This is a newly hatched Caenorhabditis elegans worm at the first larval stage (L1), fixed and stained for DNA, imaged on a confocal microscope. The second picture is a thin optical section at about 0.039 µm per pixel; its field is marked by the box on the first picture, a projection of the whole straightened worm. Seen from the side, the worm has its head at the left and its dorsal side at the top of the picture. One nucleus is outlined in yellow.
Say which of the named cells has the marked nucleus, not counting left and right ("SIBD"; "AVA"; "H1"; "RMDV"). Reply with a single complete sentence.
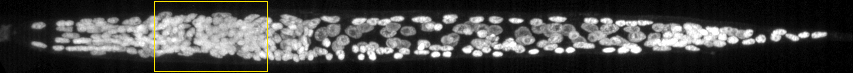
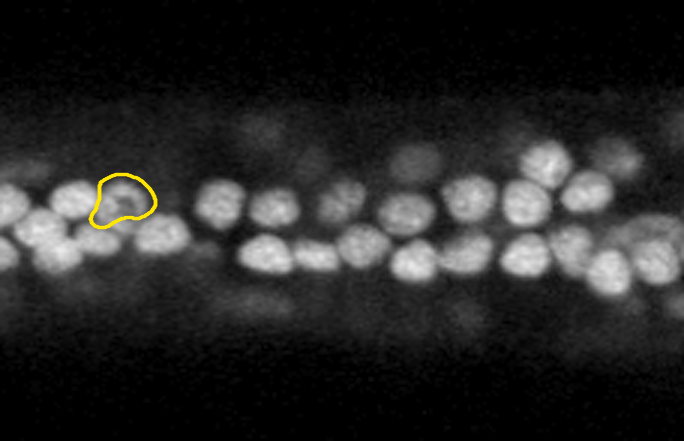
The marked nucleus is that of H1, a seam cell.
